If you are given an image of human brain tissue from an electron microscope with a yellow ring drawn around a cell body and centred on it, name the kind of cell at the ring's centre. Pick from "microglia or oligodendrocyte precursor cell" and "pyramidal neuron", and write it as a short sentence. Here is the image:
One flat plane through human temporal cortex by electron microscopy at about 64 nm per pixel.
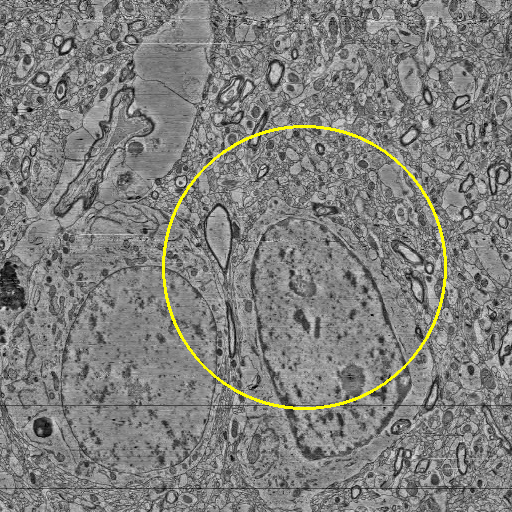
The cell at the ring's centre is a microglial cell or oligodendrocyte precursor cell.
